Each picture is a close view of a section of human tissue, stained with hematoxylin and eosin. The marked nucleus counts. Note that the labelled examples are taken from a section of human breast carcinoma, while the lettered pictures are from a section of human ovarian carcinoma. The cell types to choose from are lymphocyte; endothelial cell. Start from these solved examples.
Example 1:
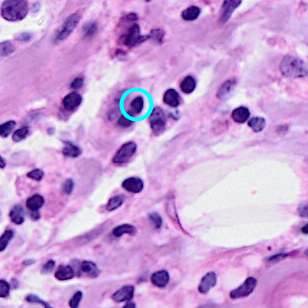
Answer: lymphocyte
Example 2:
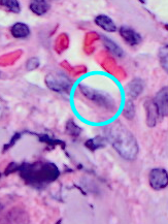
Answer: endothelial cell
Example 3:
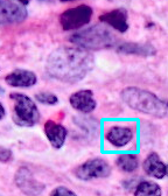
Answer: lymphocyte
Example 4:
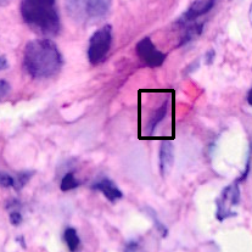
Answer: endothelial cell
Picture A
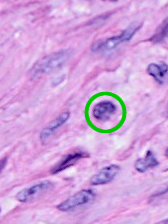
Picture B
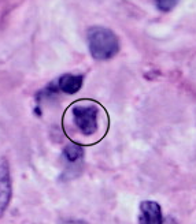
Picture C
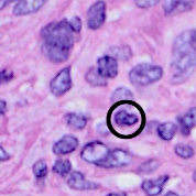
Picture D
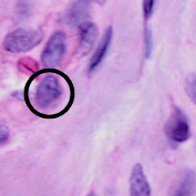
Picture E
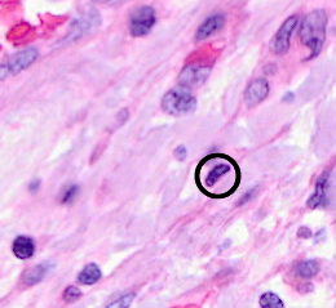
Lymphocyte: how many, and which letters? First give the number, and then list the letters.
4: A, B, C, E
